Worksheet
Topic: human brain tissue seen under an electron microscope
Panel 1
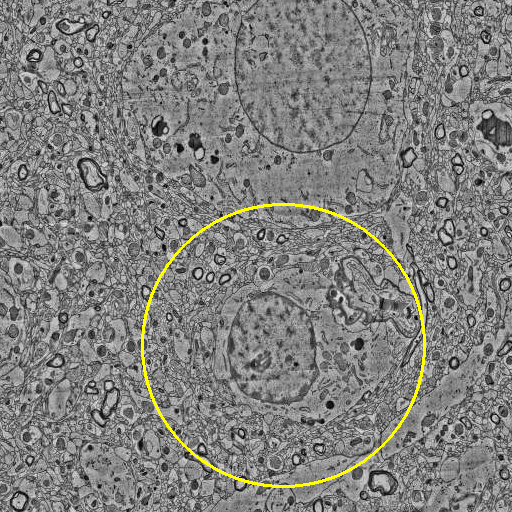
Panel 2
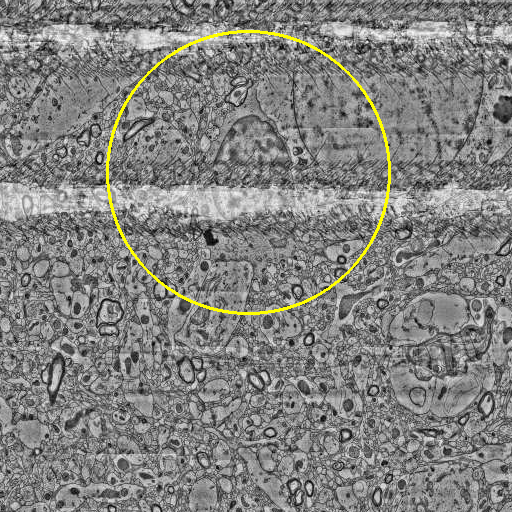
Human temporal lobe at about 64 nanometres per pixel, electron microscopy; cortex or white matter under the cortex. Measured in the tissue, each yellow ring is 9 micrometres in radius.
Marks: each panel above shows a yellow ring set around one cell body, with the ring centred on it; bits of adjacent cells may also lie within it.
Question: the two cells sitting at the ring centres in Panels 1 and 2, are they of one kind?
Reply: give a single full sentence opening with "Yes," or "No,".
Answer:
No, the two ring-centre cells in Panel 1 and Panel 2 are of two kinds.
